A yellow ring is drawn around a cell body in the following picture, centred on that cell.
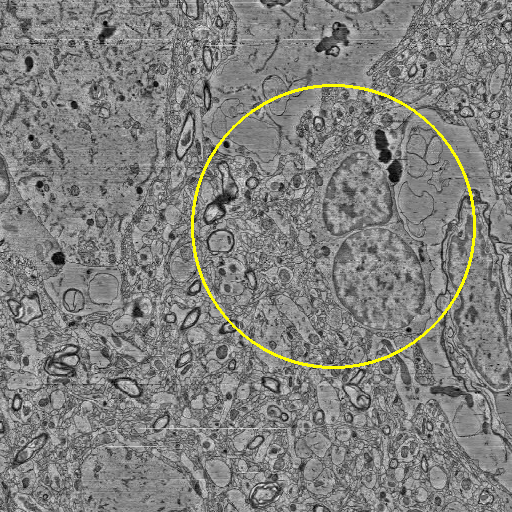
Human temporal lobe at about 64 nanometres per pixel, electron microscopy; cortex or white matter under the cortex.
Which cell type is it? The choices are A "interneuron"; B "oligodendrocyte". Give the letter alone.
B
